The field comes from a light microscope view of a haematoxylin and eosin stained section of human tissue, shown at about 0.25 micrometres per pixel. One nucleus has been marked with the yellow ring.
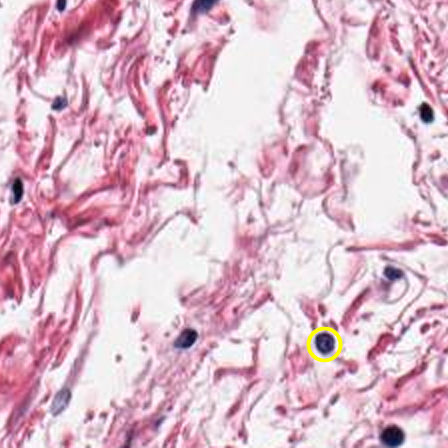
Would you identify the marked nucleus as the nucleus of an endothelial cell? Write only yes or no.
no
